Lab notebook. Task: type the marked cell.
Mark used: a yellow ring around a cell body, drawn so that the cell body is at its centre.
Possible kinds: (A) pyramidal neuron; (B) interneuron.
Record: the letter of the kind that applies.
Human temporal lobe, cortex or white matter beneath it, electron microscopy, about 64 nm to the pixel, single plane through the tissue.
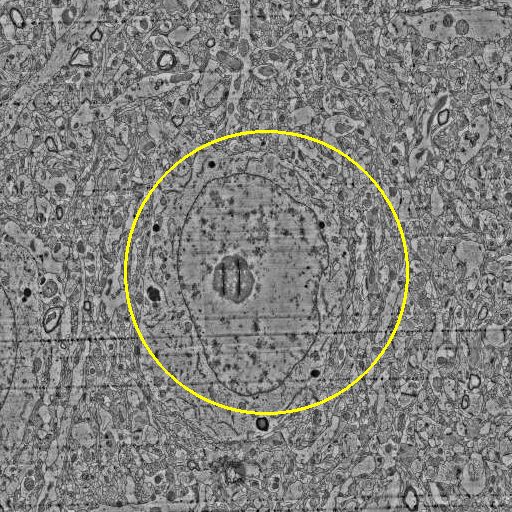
A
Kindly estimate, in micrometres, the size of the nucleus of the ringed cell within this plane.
The nucleus has a long axis of about 14 micrometres and a short axis of about 10 micrometres in this plane.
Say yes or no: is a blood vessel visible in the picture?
No.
